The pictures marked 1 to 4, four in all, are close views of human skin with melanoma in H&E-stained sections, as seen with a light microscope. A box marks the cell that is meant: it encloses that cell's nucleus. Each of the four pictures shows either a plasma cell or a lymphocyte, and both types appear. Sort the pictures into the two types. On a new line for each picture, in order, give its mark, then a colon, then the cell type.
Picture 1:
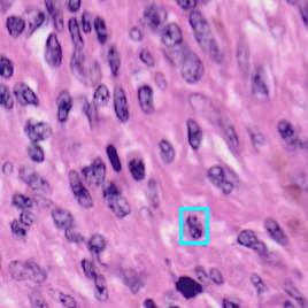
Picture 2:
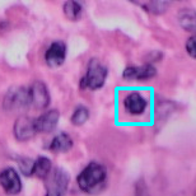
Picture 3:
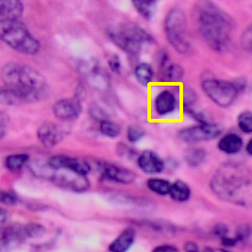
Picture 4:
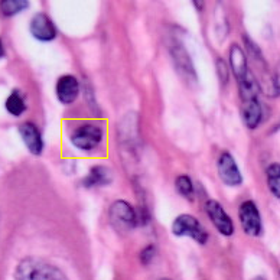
1: lymphocyte
2: lymphocyte
3: lymphocyte
4: plasma cell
